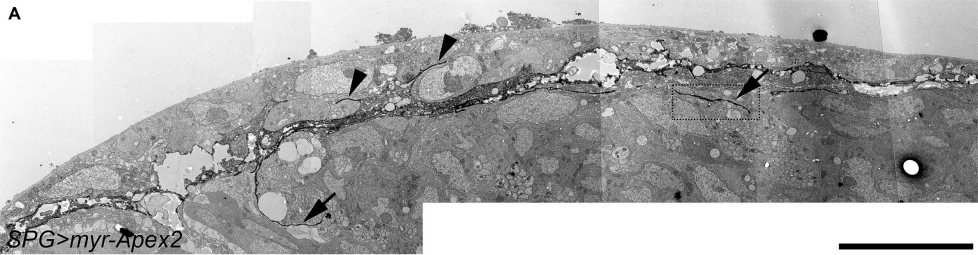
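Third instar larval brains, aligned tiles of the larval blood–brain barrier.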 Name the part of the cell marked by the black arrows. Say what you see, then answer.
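Thin dark lines leave the dark band beneath the brain surface.
Cell processes.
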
